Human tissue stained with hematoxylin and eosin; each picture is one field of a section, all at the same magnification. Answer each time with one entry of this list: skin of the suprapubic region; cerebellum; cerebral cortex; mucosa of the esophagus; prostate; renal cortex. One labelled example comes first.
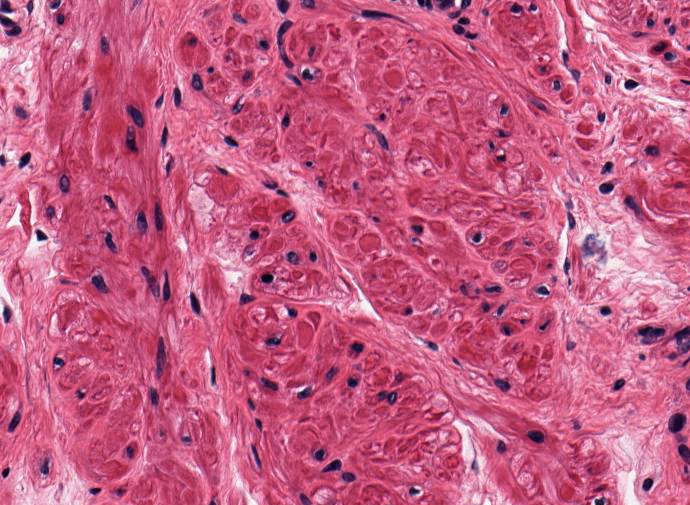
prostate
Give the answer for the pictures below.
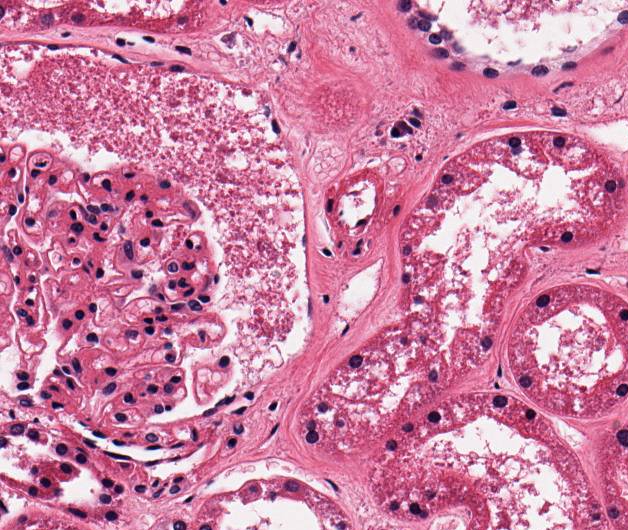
renal cortex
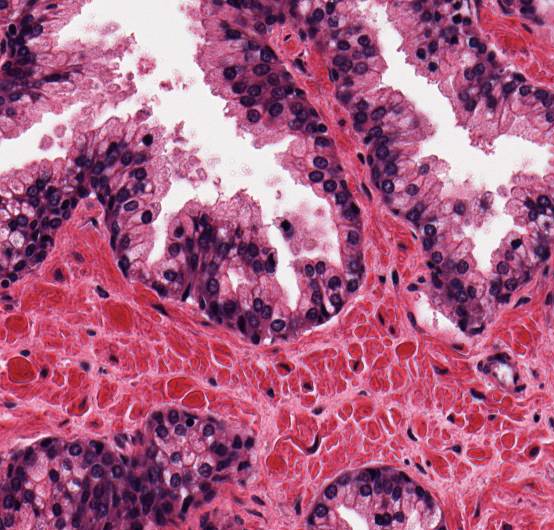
prostate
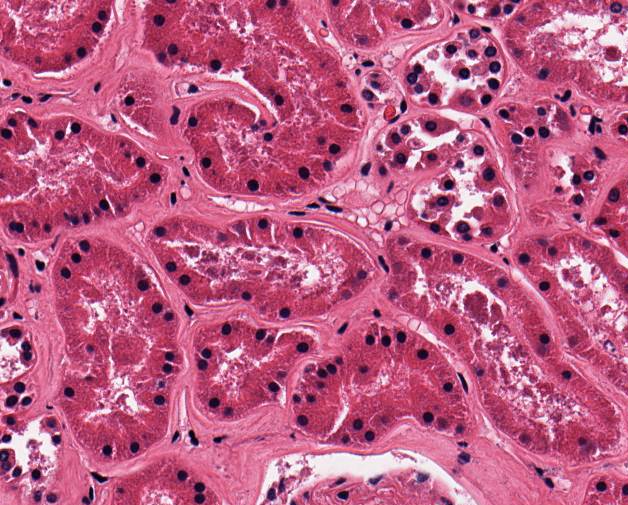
renal cortex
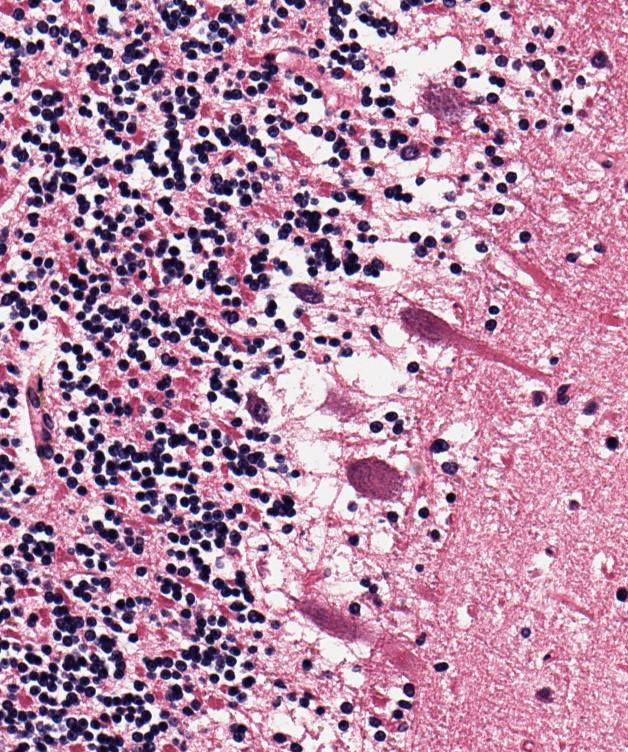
cerebellum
